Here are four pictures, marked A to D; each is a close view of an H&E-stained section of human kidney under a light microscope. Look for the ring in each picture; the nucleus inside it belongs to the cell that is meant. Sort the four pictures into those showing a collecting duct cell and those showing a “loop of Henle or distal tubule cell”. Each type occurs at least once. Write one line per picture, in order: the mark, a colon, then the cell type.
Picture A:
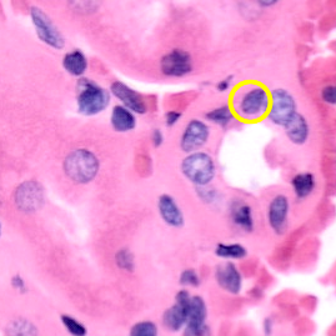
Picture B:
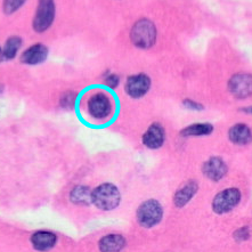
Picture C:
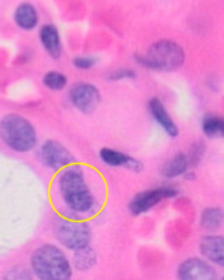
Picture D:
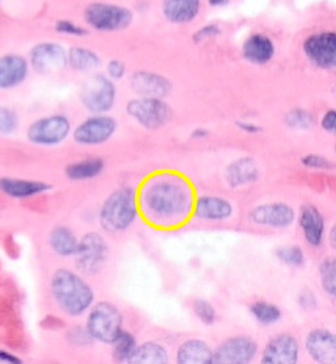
A: collecting duct cell
B: loop of Henle or distal tubule cell
C: collecting duct cell
D: collecting duct cell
